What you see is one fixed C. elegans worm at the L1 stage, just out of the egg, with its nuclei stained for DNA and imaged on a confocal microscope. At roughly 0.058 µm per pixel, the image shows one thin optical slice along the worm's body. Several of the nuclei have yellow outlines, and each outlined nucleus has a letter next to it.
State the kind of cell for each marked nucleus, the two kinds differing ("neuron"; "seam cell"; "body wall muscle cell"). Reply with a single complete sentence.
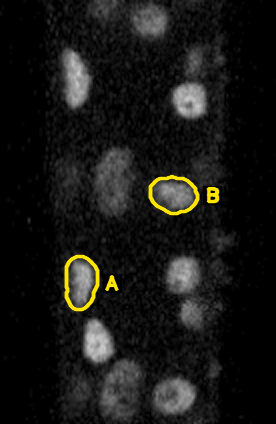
A is the nucleus of a body wall muscle cell; B is the nucleus of a seam cell.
